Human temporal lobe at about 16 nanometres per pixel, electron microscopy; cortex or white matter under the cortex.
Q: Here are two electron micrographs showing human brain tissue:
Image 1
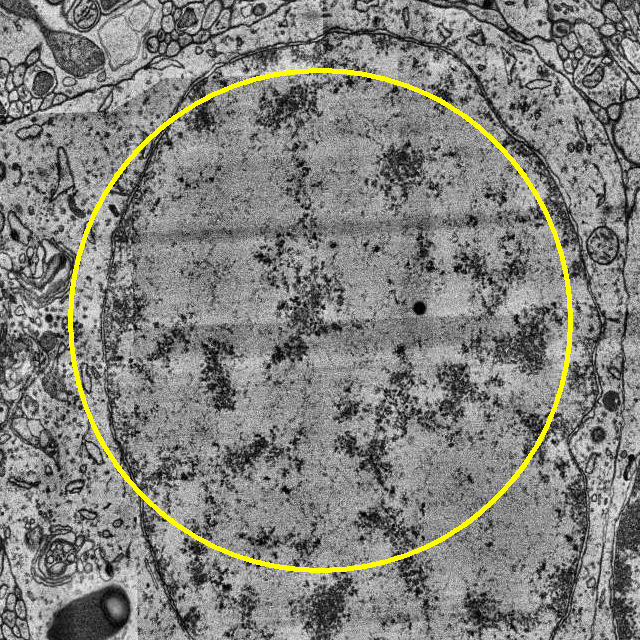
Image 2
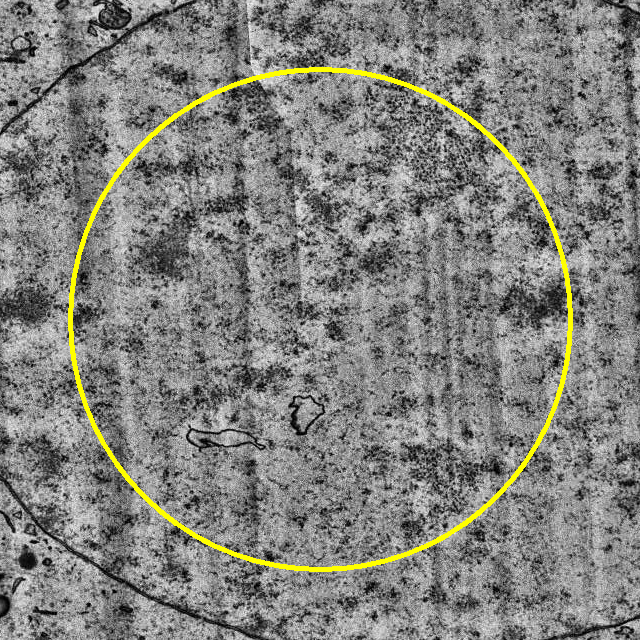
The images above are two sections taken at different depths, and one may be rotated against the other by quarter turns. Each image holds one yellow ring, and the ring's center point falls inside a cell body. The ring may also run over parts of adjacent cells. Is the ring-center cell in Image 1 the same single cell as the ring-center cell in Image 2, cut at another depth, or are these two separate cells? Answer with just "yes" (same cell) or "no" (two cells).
no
